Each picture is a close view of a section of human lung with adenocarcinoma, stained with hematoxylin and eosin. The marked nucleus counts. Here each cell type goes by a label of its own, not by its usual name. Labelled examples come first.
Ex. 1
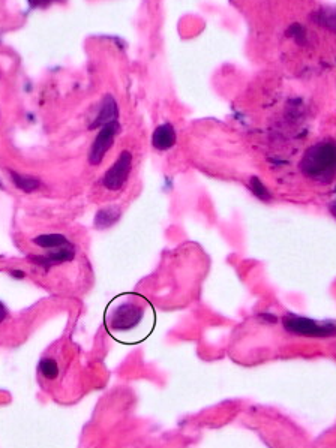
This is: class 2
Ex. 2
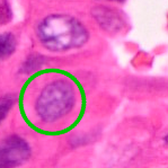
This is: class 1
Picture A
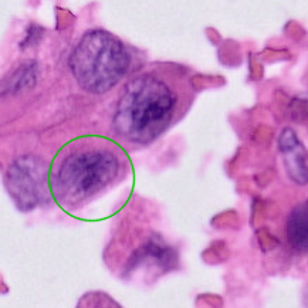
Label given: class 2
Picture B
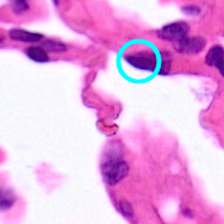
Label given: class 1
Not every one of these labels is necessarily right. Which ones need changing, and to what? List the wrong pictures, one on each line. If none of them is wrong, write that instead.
A: class 1, not class 2
B: class 2, not class 1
